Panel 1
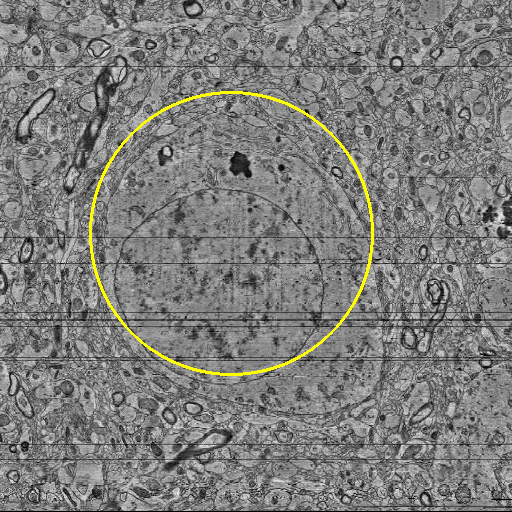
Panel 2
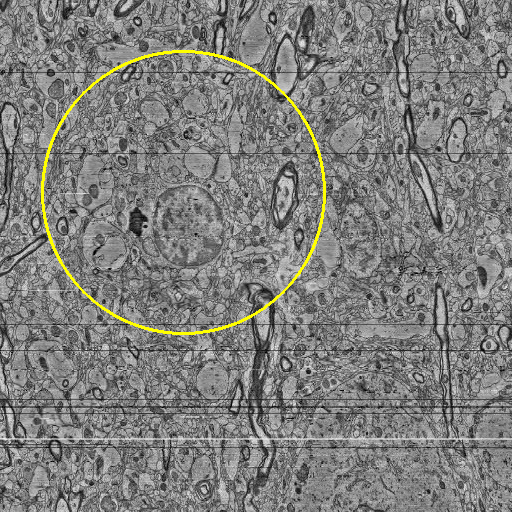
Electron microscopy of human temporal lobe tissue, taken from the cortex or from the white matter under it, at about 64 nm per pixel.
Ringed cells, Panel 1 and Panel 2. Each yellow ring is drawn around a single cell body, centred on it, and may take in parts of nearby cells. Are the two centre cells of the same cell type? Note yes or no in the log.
no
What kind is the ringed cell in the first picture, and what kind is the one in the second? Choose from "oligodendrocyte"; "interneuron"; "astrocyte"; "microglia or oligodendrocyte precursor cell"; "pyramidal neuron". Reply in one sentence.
The first cell is a pyramidal neuron; the second is an oligodendrocyte.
